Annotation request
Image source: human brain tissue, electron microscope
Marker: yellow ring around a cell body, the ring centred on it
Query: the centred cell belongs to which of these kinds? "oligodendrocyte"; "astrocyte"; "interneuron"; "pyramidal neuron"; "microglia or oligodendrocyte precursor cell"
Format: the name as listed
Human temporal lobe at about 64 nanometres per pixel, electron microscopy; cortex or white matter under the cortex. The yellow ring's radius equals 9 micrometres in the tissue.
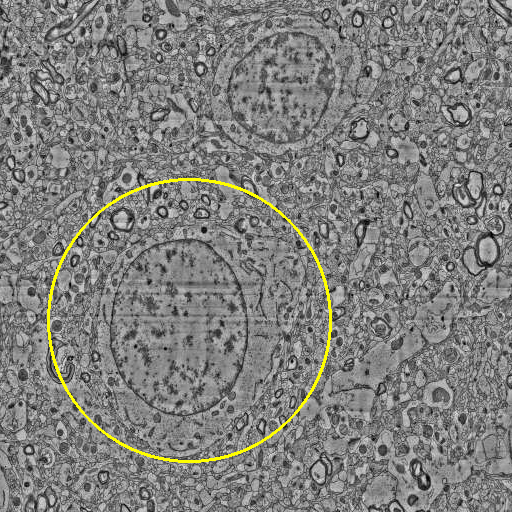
pyramidal neuron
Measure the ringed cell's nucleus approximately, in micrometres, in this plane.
In this plane the nucleus is about 11 micrometres by 9.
